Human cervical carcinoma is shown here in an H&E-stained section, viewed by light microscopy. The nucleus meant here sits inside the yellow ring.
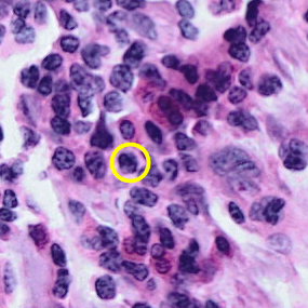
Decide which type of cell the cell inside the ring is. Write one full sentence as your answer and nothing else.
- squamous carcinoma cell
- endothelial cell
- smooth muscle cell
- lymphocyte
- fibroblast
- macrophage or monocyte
In short, the cell inside the ring on this section is a lymphocyte.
